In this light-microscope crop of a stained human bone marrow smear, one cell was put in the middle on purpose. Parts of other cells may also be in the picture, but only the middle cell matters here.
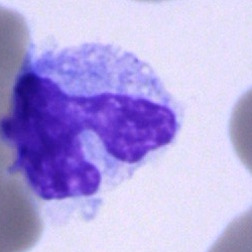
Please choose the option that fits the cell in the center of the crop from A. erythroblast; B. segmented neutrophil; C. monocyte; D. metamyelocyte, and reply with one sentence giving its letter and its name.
Option C is the correct one; it names the central cell as a monocyte.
